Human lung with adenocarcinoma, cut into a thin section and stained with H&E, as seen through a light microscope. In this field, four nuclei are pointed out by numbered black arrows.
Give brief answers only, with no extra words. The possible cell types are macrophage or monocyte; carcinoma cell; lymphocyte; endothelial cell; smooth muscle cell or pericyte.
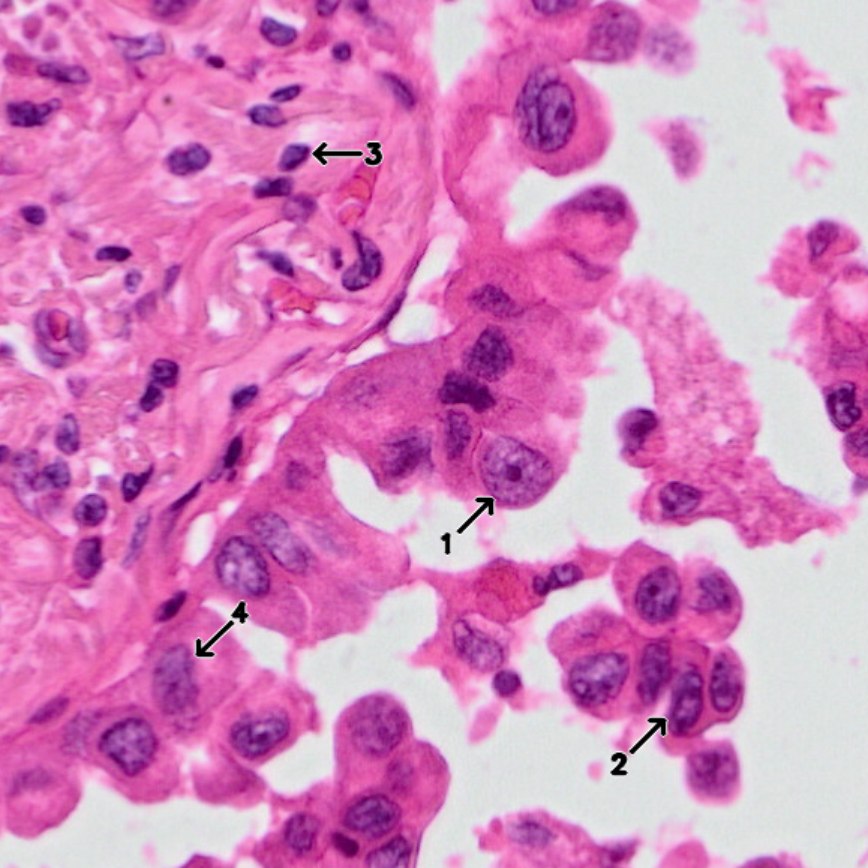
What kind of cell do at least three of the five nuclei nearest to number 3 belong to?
lymphocyte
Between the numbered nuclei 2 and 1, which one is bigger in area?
1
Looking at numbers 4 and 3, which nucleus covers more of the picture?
4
